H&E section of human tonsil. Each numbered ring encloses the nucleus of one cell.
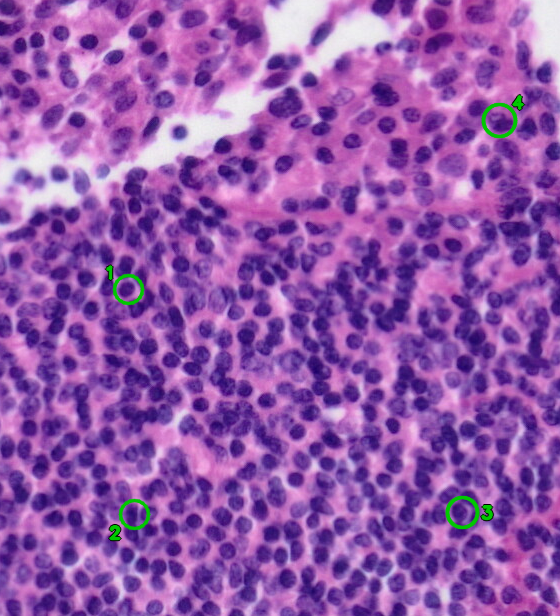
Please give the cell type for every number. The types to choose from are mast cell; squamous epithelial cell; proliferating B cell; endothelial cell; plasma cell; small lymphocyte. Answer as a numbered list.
1. small lymphocyte
2. small lymphocyte
3. small lymphocyte
4. plasma cell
